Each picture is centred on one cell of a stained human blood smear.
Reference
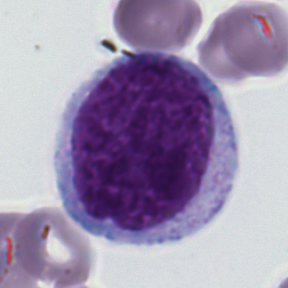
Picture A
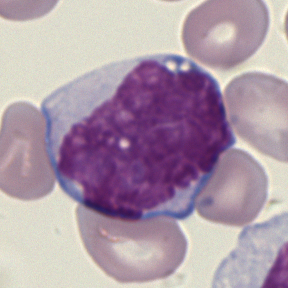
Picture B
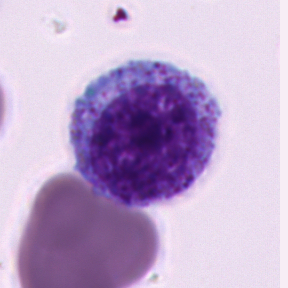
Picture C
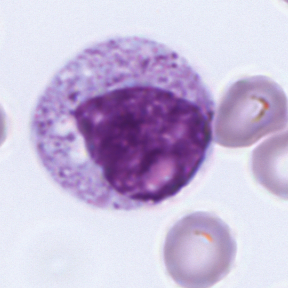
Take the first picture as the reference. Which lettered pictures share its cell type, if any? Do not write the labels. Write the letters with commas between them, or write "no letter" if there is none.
no letter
